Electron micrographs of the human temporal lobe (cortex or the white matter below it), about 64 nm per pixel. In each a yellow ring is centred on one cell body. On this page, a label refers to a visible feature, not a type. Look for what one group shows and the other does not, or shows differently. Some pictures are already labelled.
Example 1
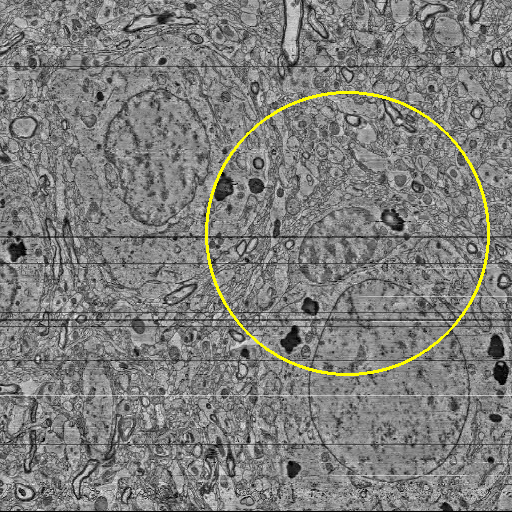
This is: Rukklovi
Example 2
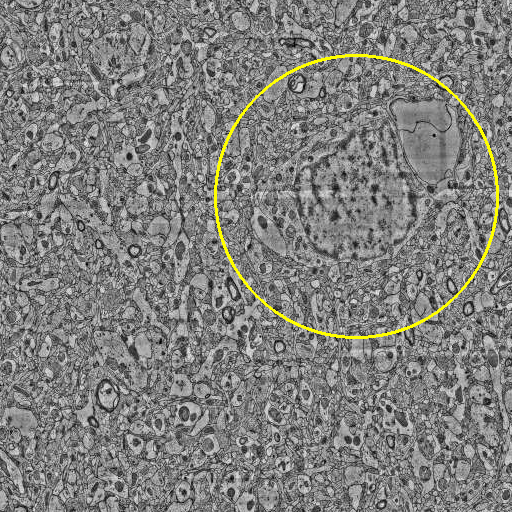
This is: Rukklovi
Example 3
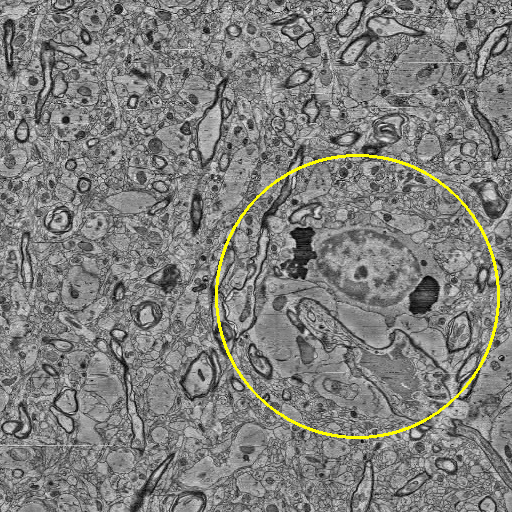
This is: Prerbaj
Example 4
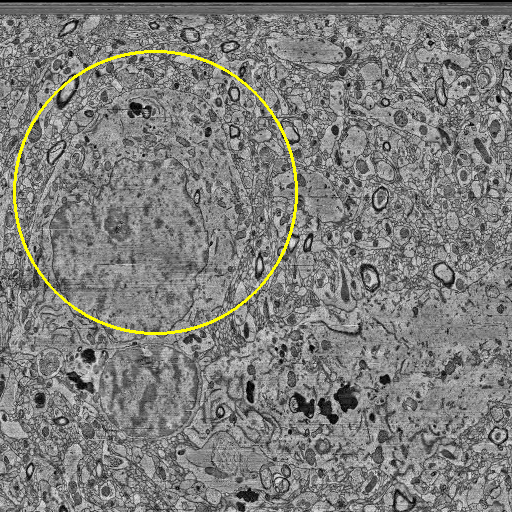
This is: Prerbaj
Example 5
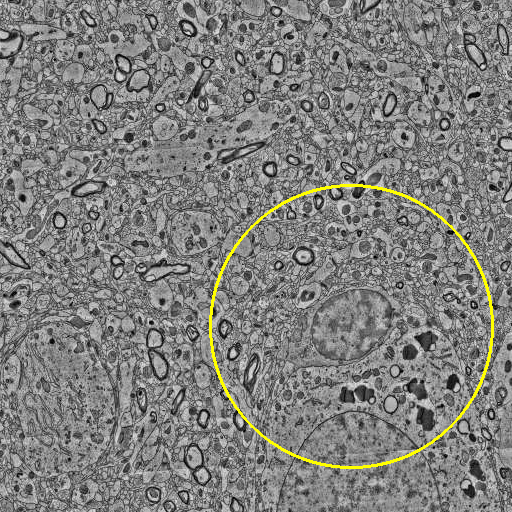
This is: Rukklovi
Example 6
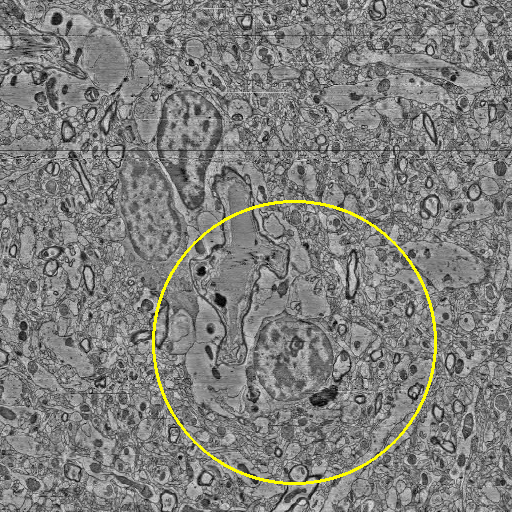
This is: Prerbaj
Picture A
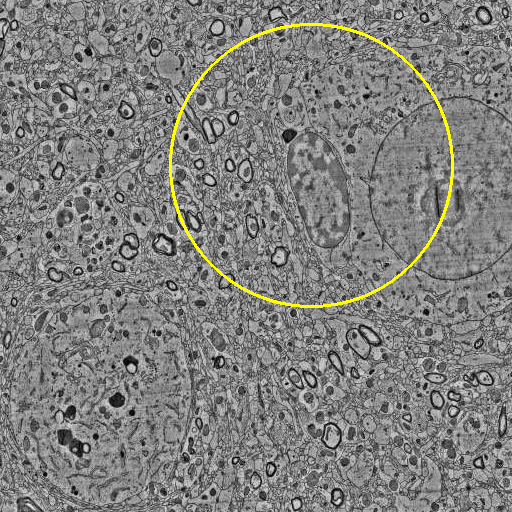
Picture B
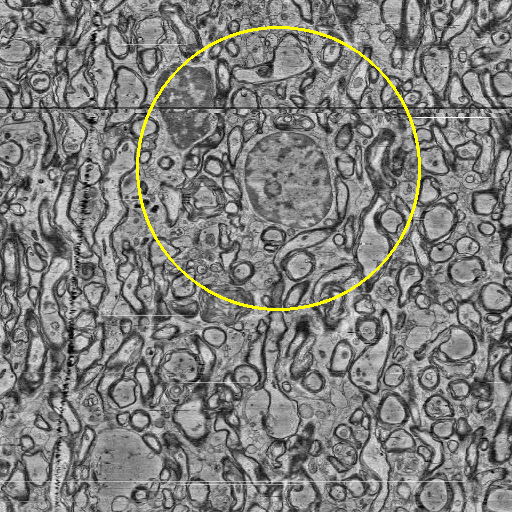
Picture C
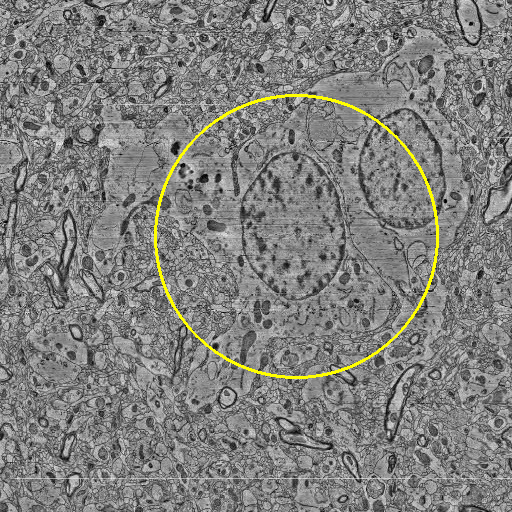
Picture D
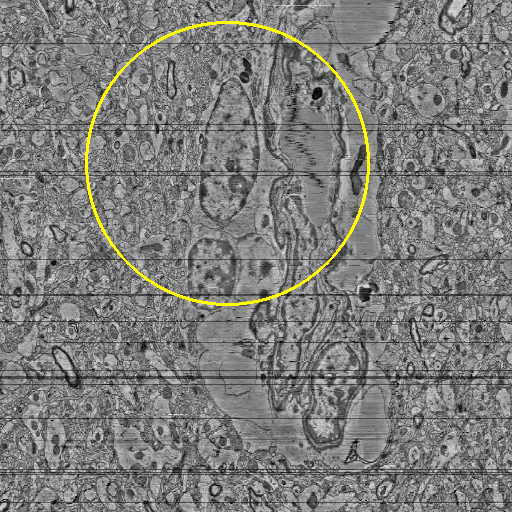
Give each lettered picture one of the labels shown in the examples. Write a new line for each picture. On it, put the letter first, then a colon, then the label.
A: Rukklovi
B: Prerbaj
C: Rukklovi
D: Prerbaj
